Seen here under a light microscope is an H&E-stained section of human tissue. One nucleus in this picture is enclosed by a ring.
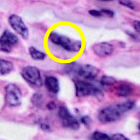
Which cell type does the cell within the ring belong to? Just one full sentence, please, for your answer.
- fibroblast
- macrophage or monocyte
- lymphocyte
Histopathologically, the cell within the ring is a lymphocyte.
